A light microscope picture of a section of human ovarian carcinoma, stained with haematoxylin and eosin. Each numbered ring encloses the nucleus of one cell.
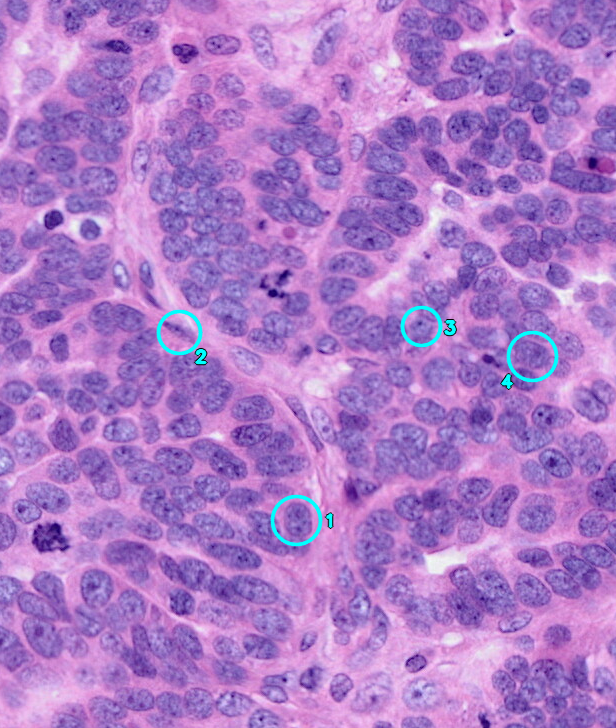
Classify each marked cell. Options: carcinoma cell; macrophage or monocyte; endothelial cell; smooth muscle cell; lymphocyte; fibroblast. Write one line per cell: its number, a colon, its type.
1: carcinoma cell
2: fibroblast
3: carcinoma cell
4: carcinoma cell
